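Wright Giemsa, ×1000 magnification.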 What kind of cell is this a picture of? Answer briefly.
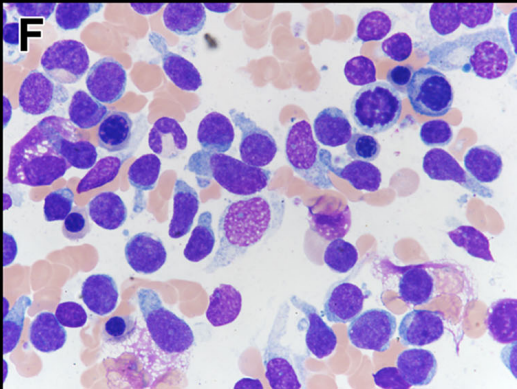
hand mirror-shaped blastic cells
